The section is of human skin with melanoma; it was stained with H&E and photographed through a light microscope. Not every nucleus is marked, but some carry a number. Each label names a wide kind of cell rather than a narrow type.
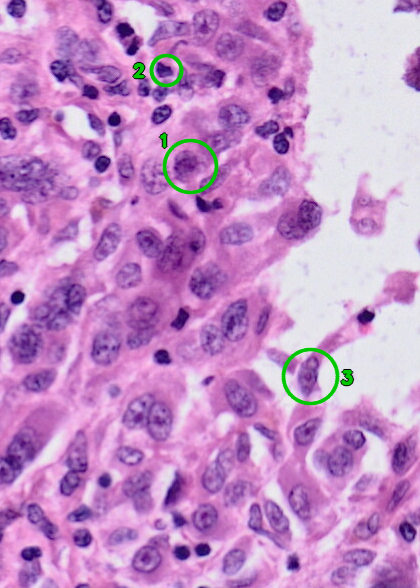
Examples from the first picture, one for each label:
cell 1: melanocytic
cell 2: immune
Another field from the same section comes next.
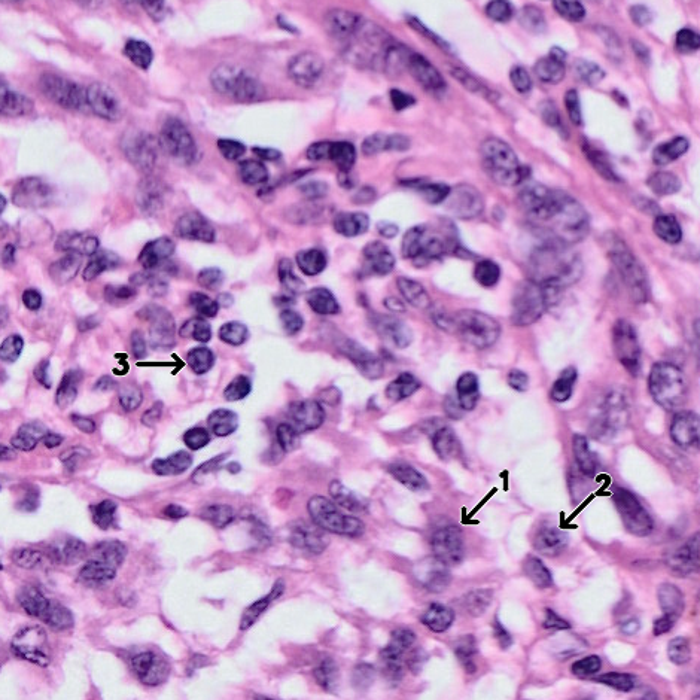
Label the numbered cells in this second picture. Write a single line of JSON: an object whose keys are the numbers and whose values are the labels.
{"1": "melanocytic", "2": "melanocytic", "3": "immune"}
